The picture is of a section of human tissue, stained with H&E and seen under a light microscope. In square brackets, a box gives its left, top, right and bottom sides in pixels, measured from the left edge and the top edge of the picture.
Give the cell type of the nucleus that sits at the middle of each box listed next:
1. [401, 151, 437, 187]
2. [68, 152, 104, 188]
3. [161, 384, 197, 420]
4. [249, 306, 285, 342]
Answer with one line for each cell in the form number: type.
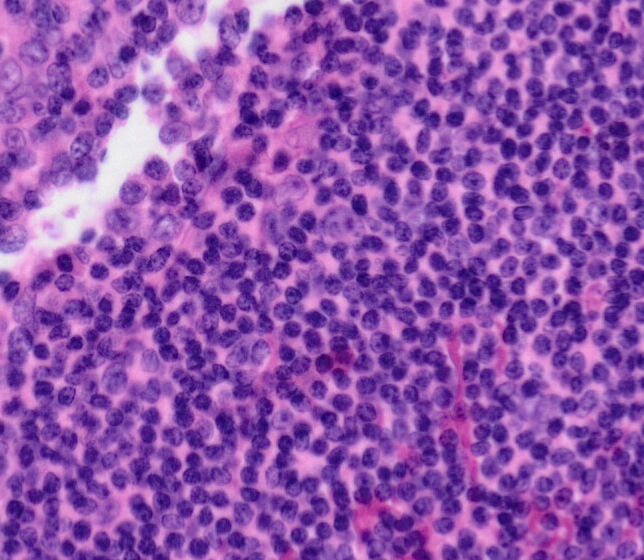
1: small lymphocyte
2: proliferating B cell
3: small lymphocyte
4: small lymphocyte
